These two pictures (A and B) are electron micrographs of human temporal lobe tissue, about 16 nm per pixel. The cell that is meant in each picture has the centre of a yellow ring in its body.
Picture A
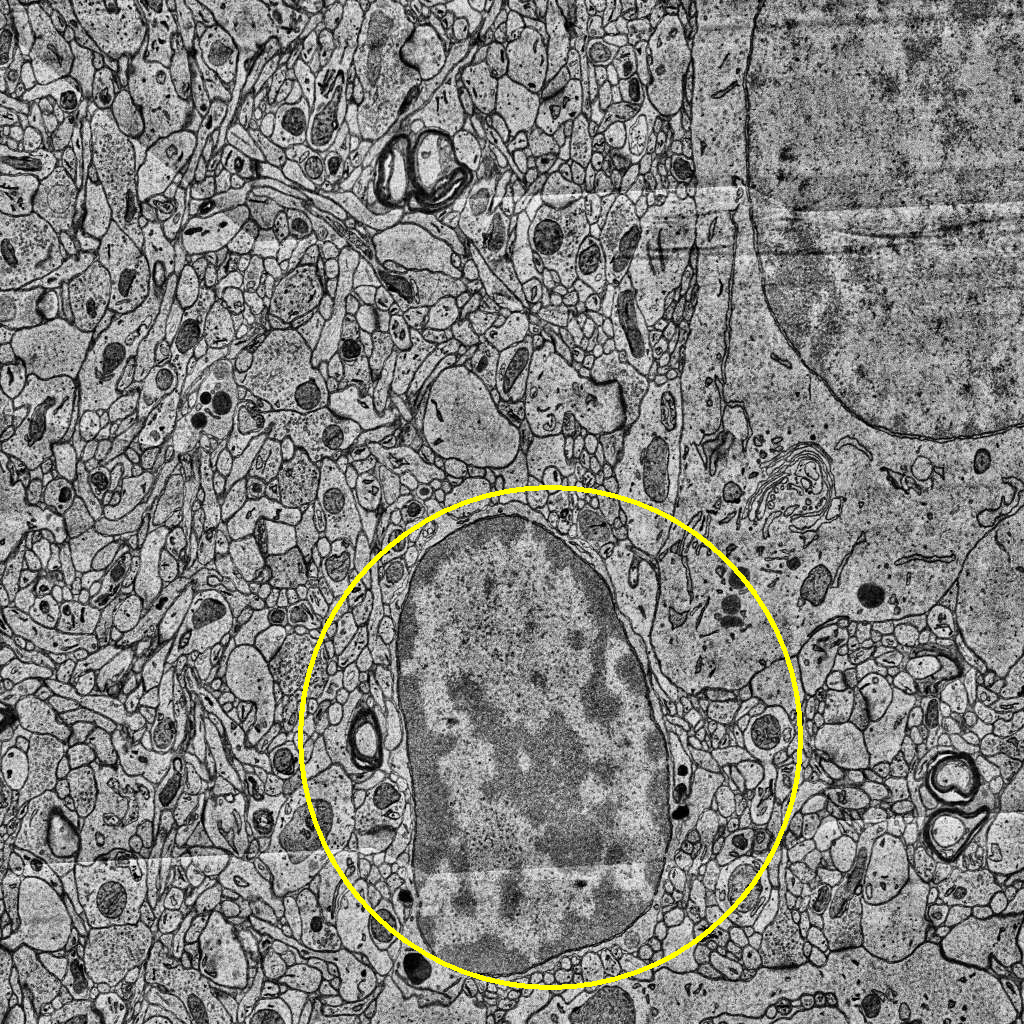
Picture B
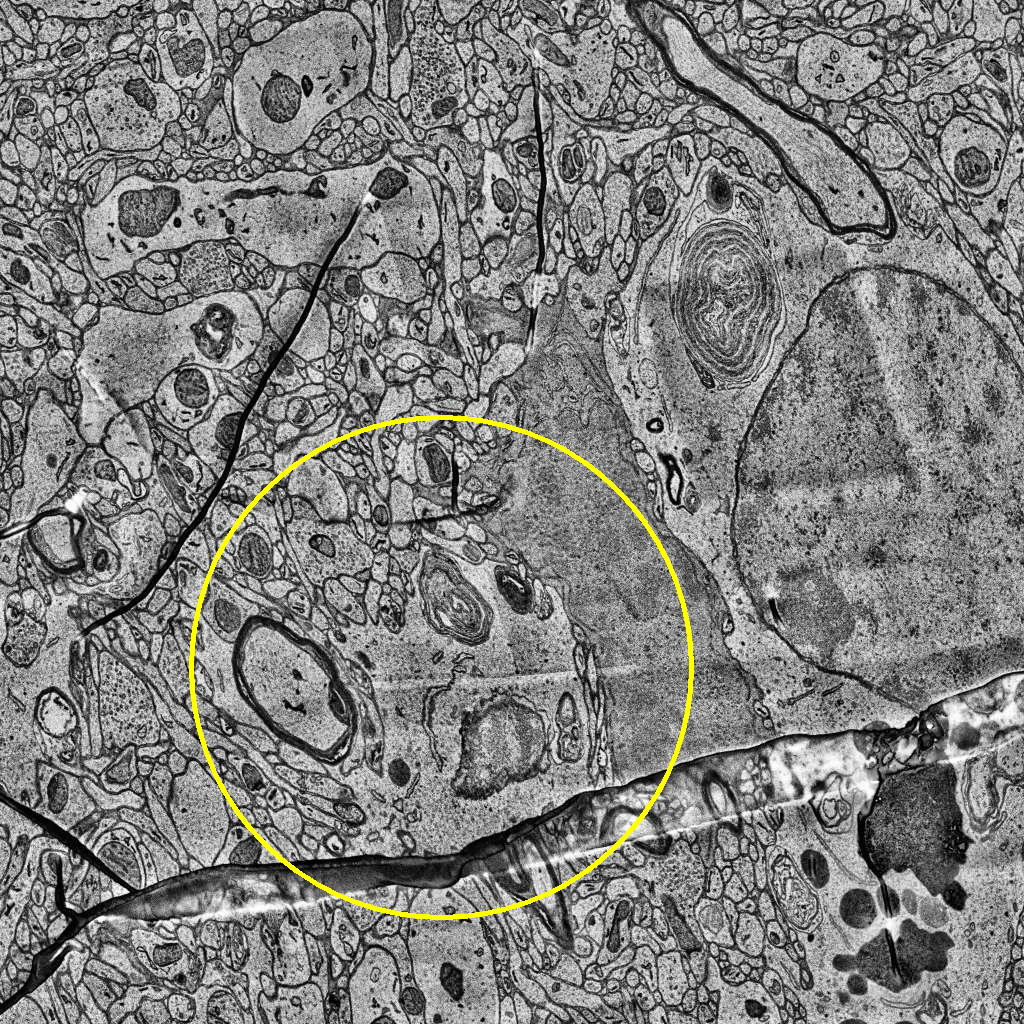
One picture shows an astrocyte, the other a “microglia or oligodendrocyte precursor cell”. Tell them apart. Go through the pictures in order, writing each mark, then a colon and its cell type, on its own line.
A: microglia or oligodendrocyte precursor cell
B: astrocyte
